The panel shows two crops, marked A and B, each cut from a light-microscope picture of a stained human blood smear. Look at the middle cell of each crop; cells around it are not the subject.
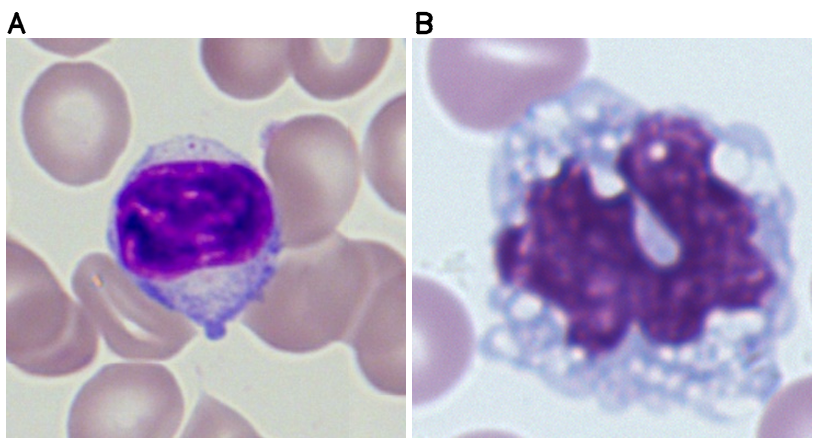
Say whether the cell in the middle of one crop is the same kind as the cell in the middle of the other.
no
